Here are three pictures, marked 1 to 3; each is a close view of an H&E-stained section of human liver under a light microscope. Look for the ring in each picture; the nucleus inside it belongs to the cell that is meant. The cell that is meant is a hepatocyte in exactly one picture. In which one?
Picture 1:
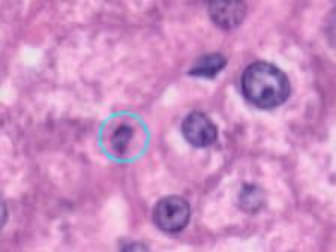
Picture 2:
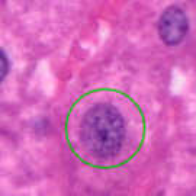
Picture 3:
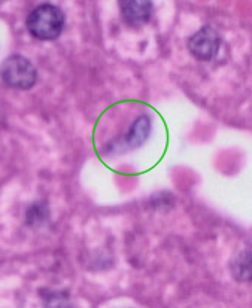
2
